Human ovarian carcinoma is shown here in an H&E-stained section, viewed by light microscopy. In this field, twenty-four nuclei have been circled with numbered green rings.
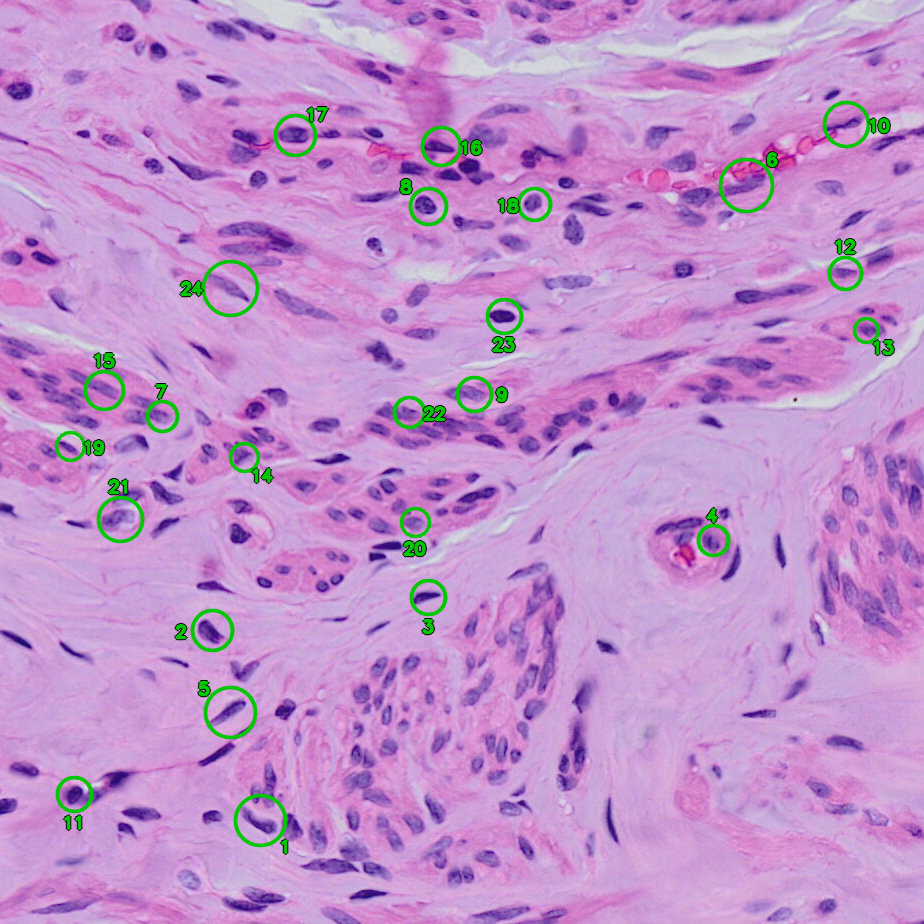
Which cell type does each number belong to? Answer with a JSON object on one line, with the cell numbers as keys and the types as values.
{"1": "fibroblast", "2": "fibroblast", "3": "fibroblast", "4": "endothelial cell", "5": "fibroblast", "6": "endothelial cell", "7": "smooth muscle cell", "8": "lymphocyte", "9": "smooth muscle cell", "10": "endothelial cell", "11": "lymphocyte", "12": "smooth muscle cell", "13": "smooth muscle cell", "14": "smooth muscle cell", "15": "smooth muscle cell", "16": "endothelial cell", "17": "endothelial cell", "18": "lymphocyte", "19": "smooth muscle cell", "20": "smooth muscle cell", "21": "endothelial cell", "22": "smooth muscle cell", "23": "lymphocyte", "24": "smooth muscle cell"}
